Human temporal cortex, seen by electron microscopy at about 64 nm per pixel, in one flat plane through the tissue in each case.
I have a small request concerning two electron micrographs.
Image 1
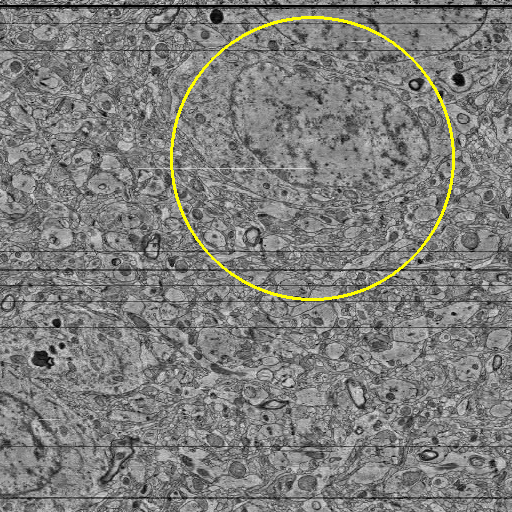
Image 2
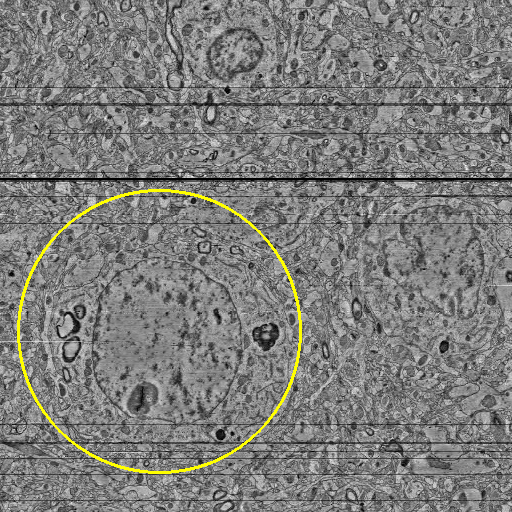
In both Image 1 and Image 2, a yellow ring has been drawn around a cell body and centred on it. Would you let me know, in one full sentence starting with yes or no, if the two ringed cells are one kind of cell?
No, the cells ringed in Image 1 and Image 2 are two kinds of cell.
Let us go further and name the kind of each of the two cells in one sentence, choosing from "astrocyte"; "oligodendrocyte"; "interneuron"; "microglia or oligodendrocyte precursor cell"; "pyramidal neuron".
The ring of the first picture is on an interneuron, the ring of the second on a pyramidal neuron.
